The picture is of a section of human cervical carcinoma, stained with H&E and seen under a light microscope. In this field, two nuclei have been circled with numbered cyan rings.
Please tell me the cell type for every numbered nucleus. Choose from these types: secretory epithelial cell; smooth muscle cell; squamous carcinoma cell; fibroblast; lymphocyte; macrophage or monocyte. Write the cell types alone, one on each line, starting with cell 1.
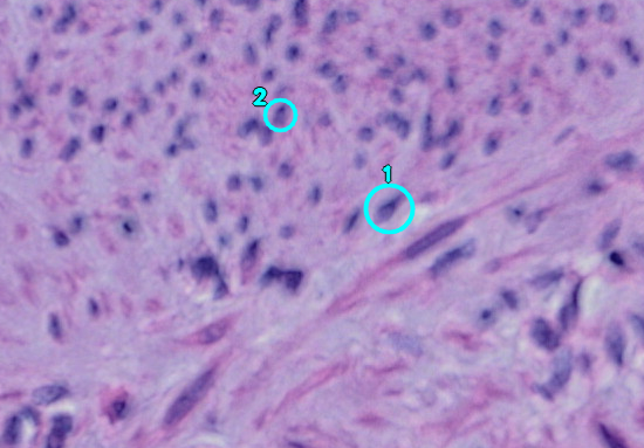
fibroblast
smooth muscle cell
